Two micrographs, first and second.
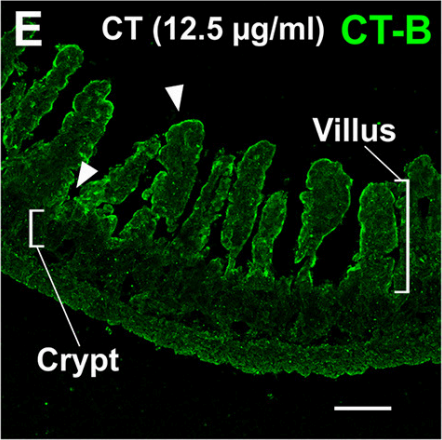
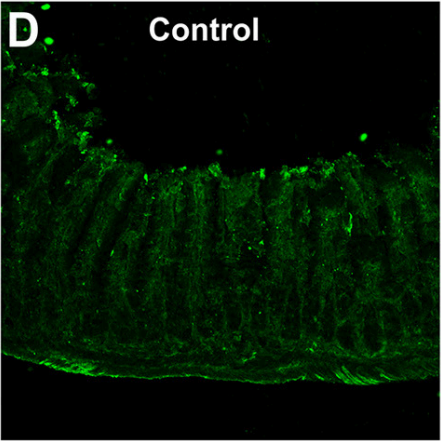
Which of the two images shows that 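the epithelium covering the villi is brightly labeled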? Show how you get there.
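The first image. First image: bright green outlines the surfaces of separate finger-like villi.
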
